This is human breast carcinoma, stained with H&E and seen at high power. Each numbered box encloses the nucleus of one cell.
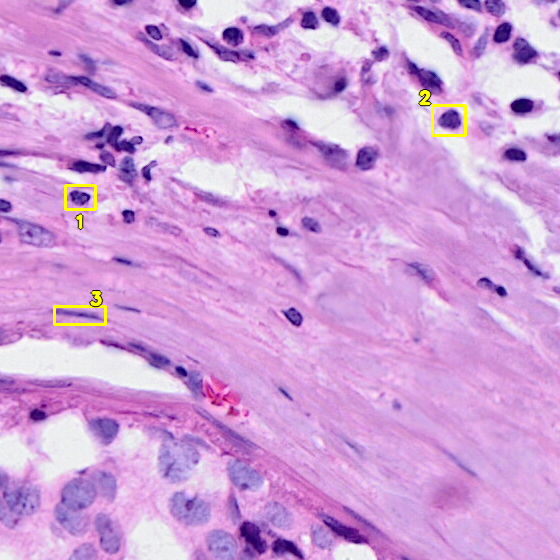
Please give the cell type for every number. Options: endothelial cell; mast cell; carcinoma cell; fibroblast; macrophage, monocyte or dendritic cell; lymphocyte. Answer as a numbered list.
1. lymphocyte
2. lymphocyte
3. fibroblast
